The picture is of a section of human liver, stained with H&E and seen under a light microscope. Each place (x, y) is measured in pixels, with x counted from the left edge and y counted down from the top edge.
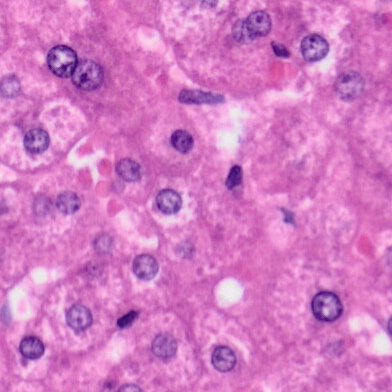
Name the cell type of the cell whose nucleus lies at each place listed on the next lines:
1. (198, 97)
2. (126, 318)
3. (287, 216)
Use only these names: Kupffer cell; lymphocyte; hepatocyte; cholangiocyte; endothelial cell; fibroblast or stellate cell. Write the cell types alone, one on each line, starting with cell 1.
Kupffer cell
fibroblast or stellate cell
endothelial cell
